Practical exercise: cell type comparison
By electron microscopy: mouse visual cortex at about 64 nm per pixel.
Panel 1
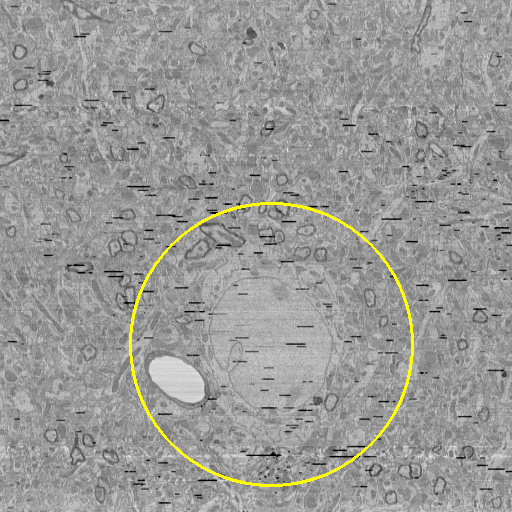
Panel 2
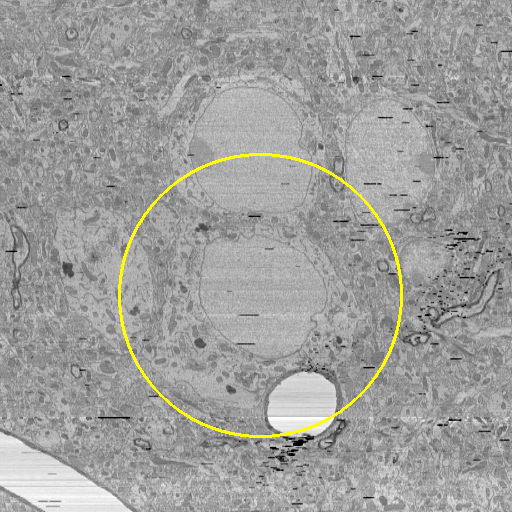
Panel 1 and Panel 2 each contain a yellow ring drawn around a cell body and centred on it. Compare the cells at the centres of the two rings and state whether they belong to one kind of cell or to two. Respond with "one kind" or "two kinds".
one kind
